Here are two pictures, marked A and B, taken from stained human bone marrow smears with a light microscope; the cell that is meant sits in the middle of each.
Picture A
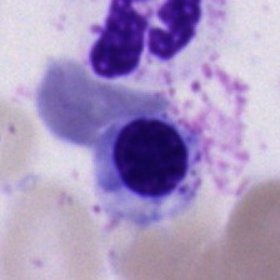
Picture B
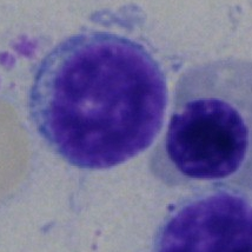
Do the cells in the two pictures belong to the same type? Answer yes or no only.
no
